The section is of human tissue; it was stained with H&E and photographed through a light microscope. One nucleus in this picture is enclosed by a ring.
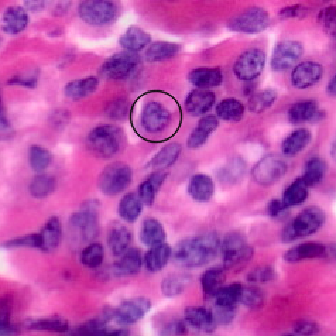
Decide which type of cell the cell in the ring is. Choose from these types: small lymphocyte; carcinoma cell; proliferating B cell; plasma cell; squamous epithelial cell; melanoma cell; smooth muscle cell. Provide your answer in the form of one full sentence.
Just put down that the cell in the ring is a plasma cell.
